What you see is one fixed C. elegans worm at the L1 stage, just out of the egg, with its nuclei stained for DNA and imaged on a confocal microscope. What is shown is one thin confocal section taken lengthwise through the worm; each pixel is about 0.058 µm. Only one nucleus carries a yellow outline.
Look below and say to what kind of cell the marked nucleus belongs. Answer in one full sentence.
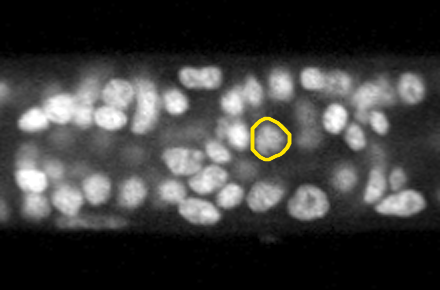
The cell with the marked nucleus is a pharyngeal muscle cell.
